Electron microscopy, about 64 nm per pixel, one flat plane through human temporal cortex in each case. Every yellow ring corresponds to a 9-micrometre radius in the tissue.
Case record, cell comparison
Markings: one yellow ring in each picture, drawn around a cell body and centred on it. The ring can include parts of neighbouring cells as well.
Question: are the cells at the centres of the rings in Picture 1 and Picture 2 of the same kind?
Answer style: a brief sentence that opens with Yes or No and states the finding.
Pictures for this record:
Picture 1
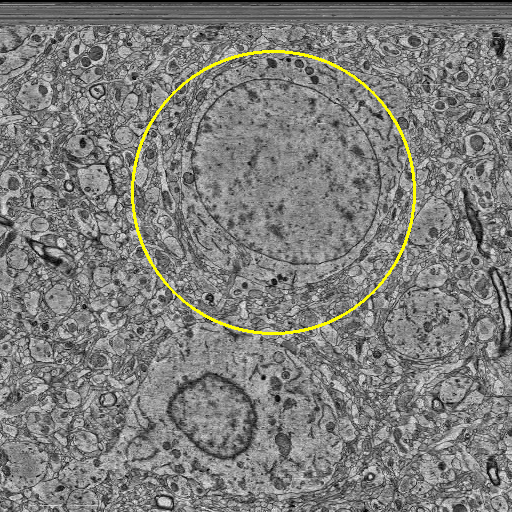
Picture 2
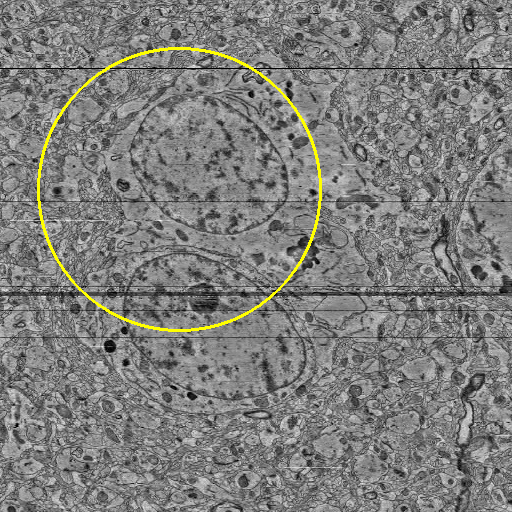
No, the cells in Picture 1 and Picture 2 are of two kinds.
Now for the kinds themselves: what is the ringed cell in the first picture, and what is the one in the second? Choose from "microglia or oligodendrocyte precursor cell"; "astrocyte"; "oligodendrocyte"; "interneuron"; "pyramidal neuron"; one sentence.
Here the first cell is a pyramidal neuron and the second cell is an astrocyte.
